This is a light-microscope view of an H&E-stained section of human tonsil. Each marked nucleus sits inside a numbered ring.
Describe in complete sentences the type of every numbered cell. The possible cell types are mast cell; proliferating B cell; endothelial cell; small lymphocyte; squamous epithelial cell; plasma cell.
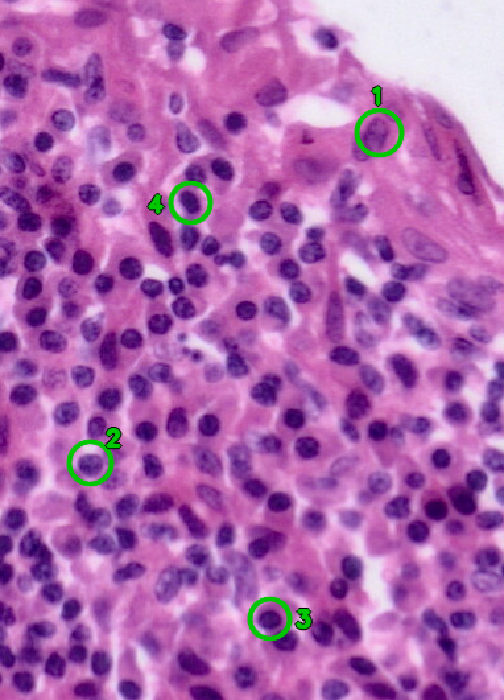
Cell 1 is a squamous epithelial cell. Cells 2, 3 and 4 are plasma cells.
